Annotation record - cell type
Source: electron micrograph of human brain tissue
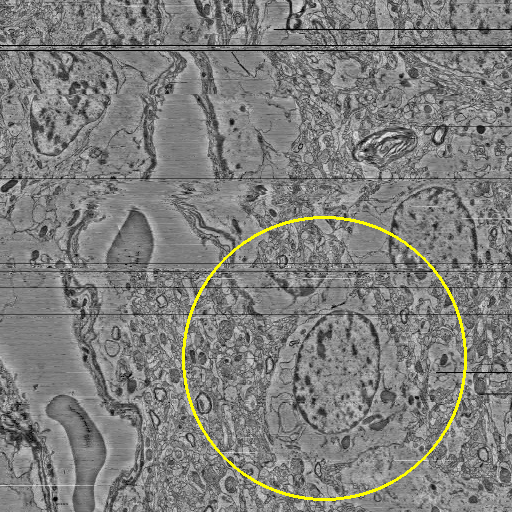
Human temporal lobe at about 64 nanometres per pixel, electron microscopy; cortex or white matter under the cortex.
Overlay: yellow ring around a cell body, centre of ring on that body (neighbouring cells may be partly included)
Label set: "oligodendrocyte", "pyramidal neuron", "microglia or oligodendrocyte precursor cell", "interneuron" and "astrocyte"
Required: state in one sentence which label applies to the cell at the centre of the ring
This cell should be labelled as an astrocyte.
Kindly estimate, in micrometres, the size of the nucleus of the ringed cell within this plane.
Clearly longer than it is wide in this plane, the nucleus measures roughly 8 by 5 micrometres.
